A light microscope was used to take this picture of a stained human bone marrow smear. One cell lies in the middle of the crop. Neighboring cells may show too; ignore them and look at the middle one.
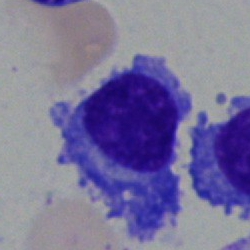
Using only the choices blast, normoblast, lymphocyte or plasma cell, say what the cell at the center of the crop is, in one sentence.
The cell marked by its central position in the crop is a plasma cell.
